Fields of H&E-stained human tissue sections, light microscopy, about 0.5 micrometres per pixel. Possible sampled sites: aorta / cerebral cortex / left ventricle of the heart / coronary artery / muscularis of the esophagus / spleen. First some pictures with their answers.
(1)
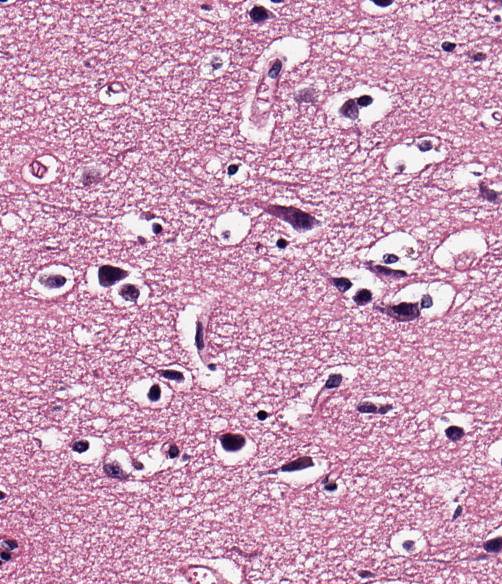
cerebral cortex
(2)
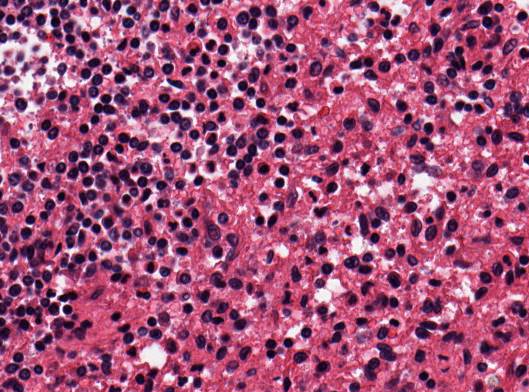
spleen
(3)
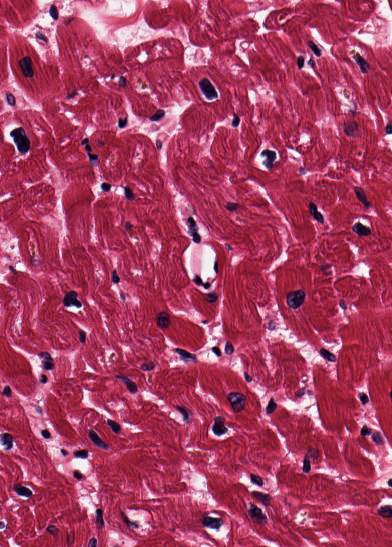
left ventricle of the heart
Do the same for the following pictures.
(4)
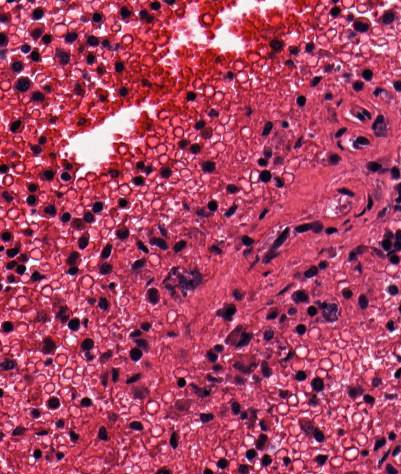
spleen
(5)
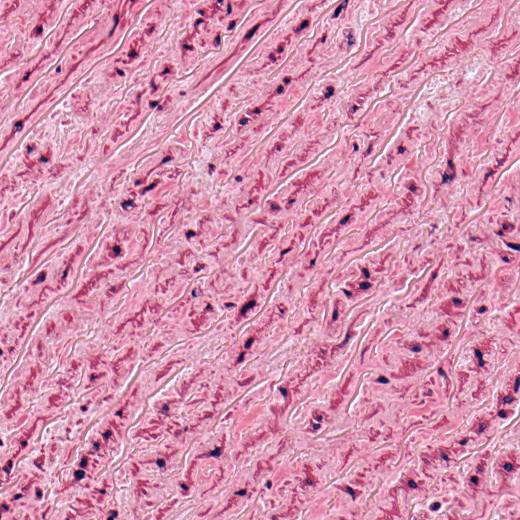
aorta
